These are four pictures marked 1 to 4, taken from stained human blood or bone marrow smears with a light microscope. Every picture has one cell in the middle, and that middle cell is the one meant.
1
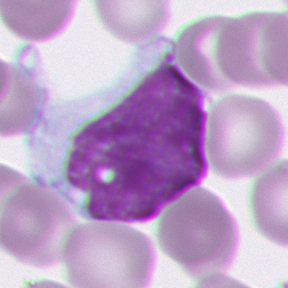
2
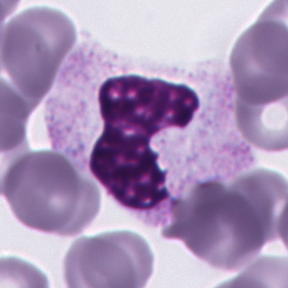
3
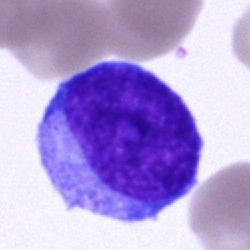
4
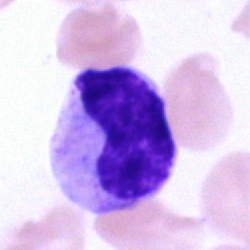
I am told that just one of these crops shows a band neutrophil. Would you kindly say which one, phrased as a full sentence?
It is crop 2, not any other, that shows a band neutrophil.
